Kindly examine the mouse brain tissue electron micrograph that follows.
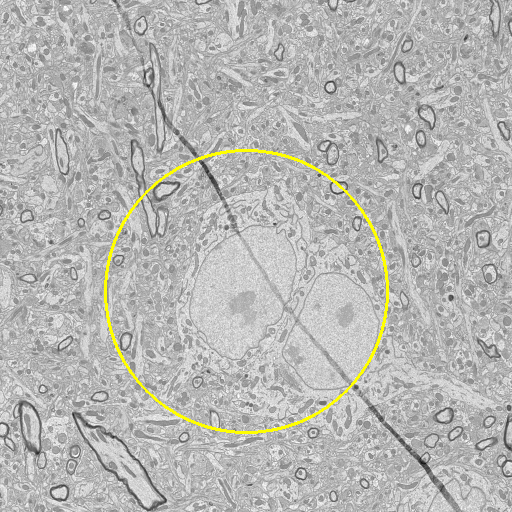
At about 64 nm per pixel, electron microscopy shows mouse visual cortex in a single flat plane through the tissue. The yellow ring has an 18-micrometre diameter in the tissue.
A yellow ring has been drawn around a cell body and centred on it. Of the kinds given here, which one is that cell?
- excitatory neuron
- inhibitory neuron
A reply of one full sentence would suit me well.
The micrograph's ringed cell, the one at the ring's centre, is an inhibitory neuron.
